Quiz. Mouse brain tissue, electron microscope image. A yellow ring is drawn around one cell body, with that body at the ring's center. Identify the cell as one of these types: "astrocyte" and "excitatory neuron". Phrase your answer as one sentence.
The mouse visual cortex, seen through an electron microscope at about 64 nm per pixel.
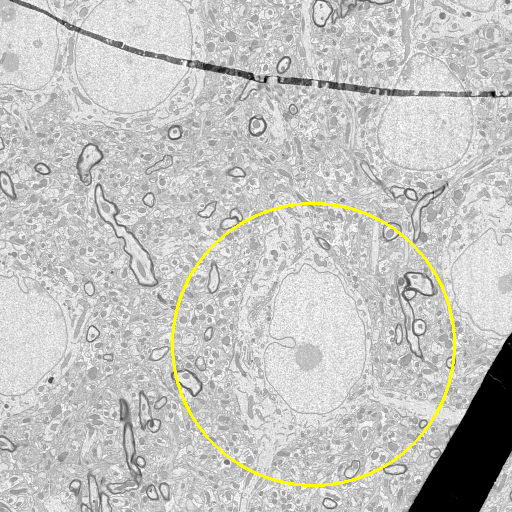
At the center of the ring sits an excitatory neuron.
